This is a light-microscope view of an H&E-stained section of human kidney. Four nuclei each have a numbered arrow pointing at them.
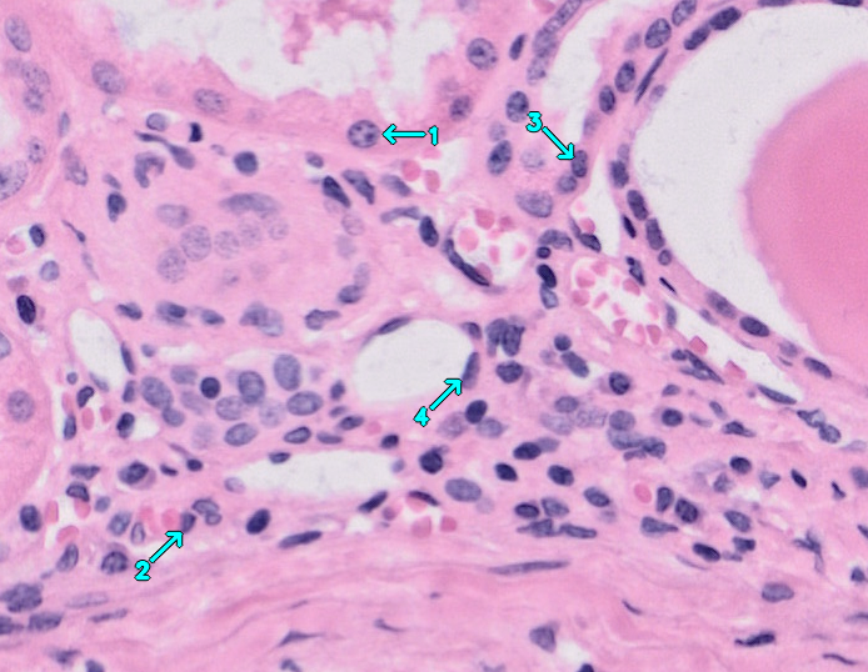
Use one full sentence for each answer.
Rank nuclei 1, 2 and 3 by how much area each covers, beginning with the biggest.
By area, largest first, they run 1, 3, 2.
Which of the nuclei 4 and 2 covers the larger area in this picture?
Nucleus 4 is larger, with an area about 2 times that of nucleus 2.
